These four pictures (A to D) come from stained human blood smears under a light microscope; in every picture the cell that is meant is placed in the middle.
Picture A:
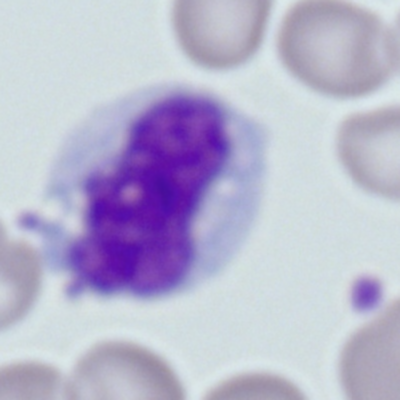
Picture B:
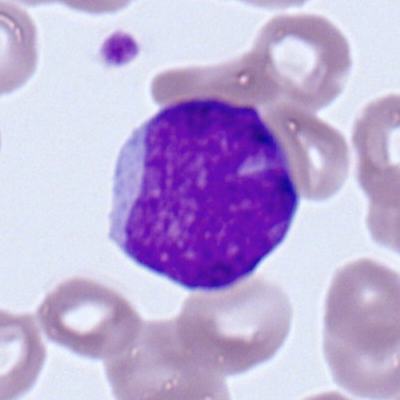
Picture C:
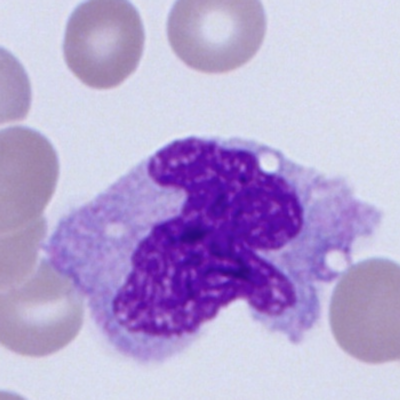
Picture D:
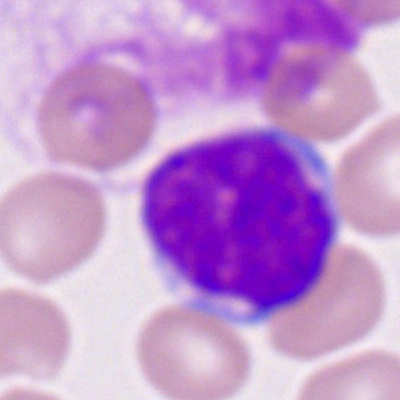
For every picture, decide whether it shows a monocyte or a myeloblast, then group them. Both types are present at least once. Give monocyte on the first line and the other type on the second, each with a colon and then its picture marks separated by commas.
monocyte: A, C
myeloblast: B, D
